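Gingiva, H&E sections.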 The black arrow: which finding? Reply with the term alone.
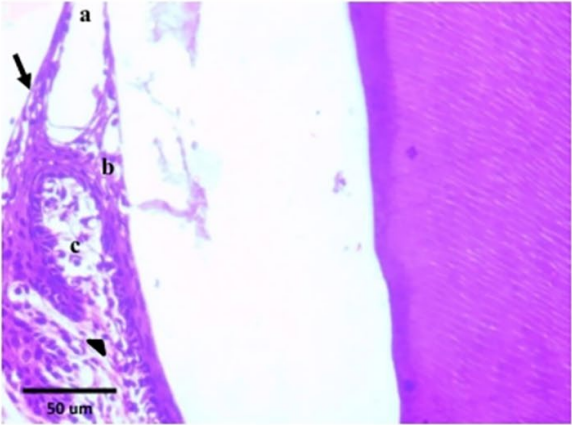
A: Loss of keratin layer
